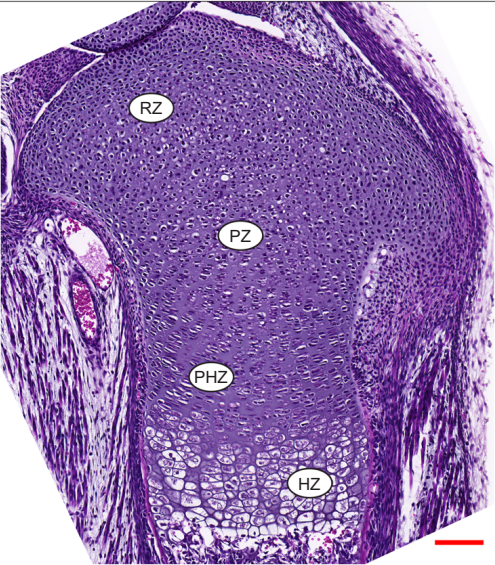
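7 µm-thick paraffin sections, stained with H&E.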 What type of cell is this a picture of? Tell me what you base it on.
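Chondrocytes. Cells sit in lacunae within a purple-staining matrix. Cells change from small and round to flattened, stacked to large and swollen down the section.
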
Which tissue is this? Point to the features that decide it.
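A dome of pale purple cartilage matrix with scattered lacunae-bound cells. Distinct bands of cells along the long axis, from small round cells at the top to large clear cells at the bottom. The cartilage is bordered on both sides by dense fibrous tissue. That points to this answer: growth plate.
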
